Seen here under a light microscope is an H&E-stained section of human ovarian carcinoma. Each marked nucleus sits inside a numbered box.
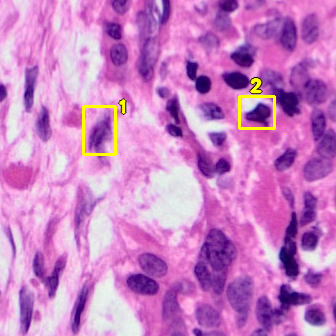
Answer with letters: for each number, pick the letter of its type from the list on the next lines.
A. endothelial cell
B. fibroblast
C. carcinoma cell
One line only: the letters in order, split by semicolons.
B; C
